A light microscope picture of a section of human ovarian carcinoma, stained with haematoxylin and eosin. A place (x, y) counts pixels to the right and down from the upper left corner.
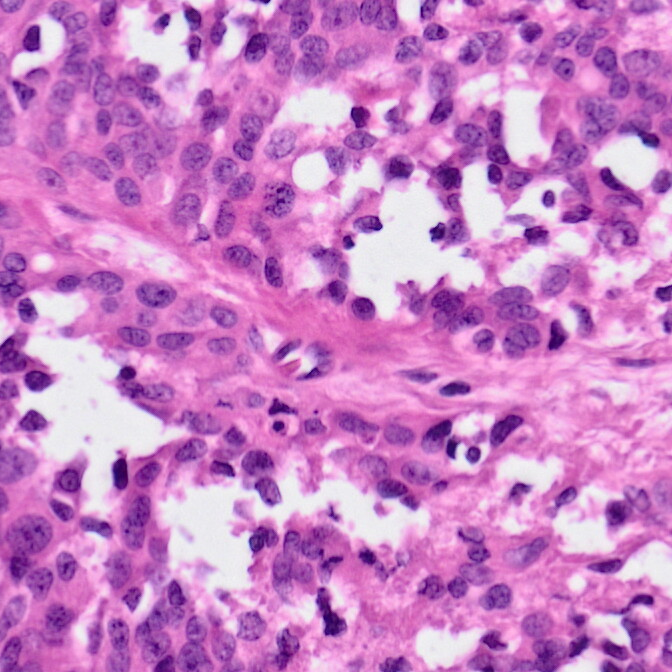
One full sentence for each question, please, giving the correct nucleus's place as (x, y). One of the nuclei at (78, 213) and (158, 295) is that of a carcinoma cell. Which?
The nucleus at position (158, 295) belongs to a carcinoma cell.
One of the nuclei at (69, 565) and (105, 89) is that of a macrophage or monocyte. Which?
The nucleus positioned at (69, 565) is the one that belongs to a macrophage or monocyte.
